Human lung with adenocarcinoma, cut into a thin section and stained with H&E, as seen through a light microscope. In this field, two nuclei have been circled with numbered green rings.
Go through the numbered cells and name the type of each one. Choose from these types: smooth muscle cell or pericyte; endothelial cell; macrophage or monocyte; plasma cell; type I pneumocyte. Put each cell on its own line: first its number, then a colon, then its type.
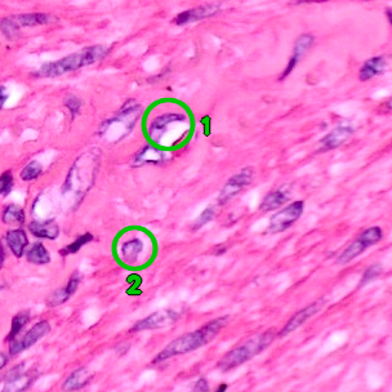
1: endothelial cell
2: smooth muscle cell or pericyte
